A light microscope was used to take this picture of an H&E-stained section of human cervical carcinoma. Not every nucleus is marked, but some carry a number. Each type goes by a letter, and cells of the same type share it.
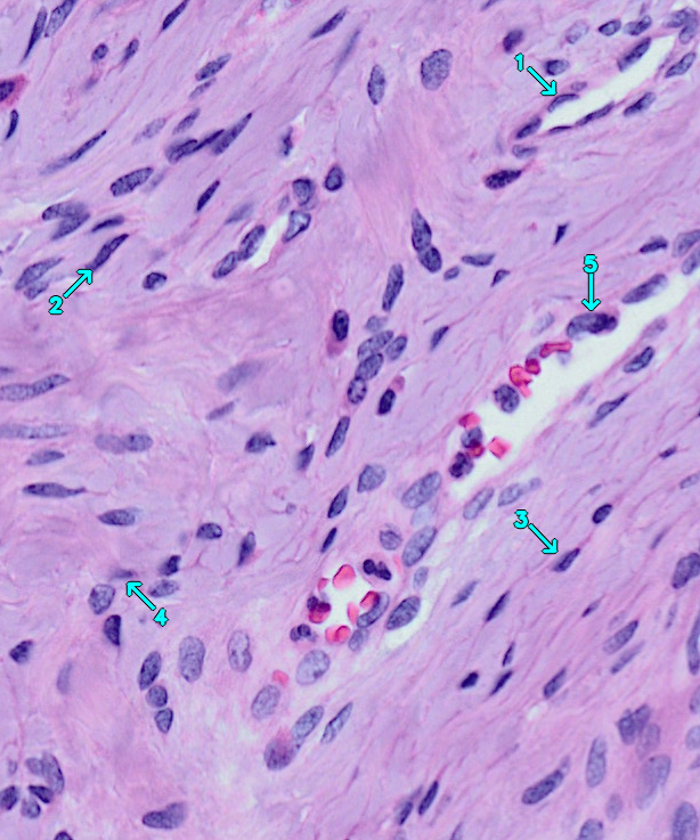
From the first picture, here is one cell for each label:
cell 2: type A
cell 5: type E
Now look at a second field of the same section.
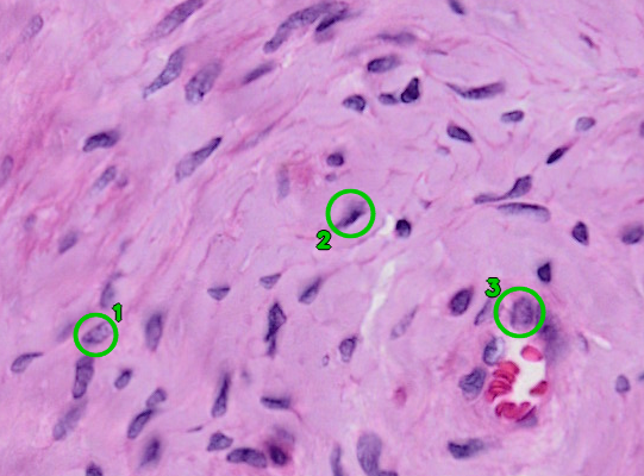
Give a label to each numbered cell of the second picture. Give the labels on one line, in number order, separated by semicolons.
type A; type A; type E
